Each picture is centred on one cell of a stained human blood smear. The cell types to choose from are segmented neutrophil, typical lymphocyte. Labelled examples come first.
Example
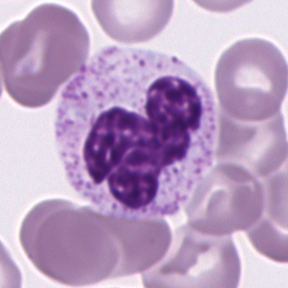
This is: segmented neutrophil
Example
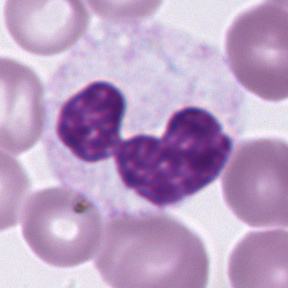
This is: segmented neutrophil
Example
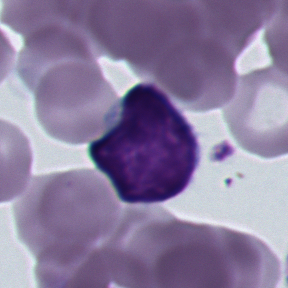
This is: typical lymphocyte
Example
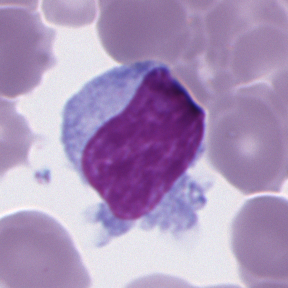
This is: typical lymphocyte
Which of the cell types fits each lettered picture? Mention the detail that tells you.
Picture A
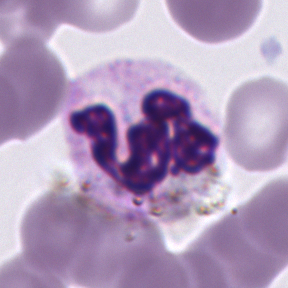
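segmented neutrophil. The cytoplasm is plentiful and pale pinkish-lilac.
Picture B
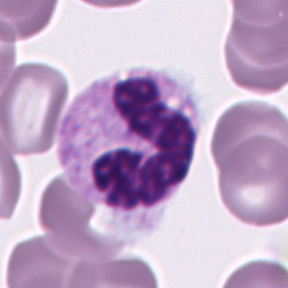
segmented neutrophil. The nucleus is split into more than two lobes linked in a curved chain.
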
